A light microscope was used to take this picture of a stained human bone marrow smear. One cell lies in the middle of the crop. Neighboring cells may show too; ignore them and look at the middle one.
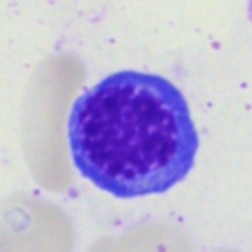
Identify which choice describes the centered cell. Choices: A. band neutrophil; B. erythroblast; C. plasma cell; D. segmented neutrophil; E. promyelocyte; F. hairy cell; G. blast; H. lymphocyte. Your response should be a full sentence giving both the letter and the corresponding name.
Option B is correct, and the cell in the centre is an erythroblast.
